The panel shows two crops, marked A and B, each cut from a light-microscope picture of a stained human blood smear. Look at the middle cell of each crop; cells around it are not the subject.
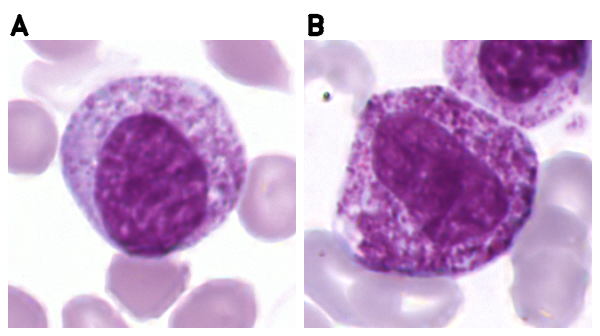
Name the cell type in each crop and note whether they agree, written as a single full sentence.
Yes, both crops show myelocytes in the middle.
